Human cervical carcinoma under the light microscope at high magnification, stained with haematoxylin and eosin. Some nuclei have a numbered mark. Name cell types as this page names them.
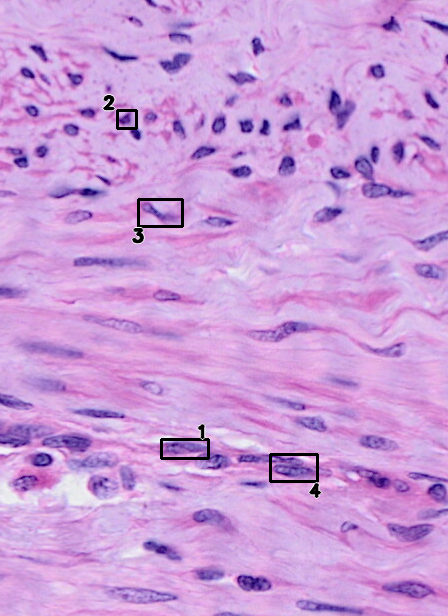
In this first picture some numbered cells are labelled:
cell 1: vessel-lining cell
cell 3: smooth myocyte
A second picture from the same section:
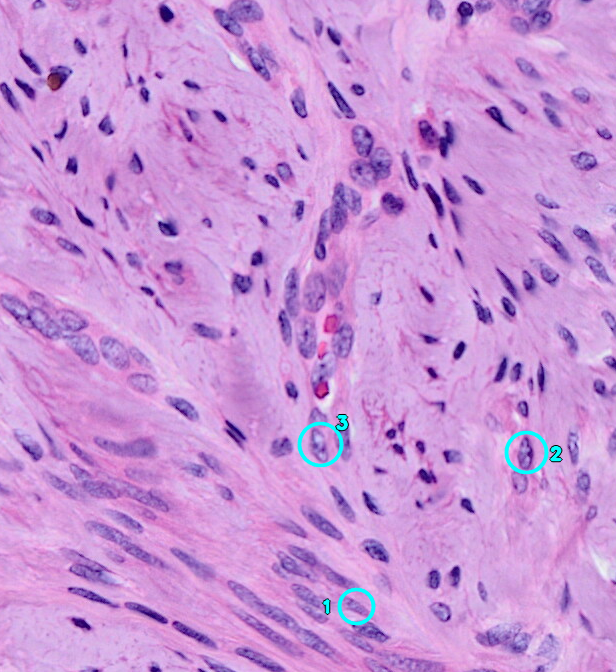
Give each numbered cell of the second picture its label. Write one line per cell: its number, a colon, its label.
1: smooth myocyte
2: vessel-lining cell
3: vessel-lining cell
